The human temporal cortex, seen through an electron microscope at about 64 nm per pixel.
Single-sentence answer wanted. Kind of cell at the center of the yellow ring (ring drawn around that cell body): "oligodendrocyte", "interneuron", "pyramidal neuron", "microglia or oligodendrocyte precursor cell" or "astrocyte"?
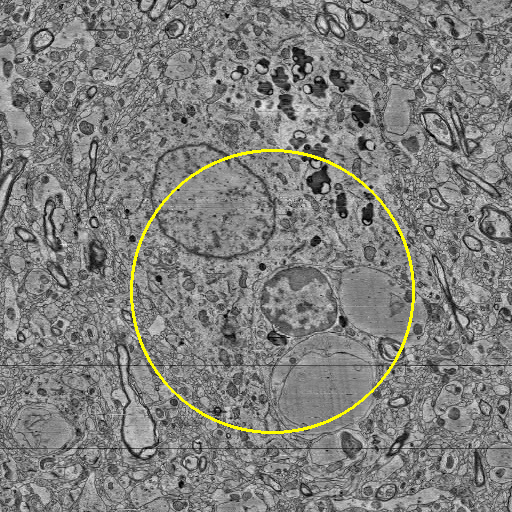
The cell centered in the ring is a microglial cell or oligodendrocyte precursor cell.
